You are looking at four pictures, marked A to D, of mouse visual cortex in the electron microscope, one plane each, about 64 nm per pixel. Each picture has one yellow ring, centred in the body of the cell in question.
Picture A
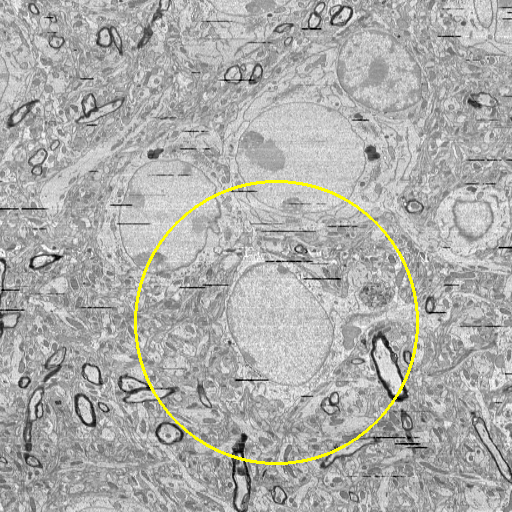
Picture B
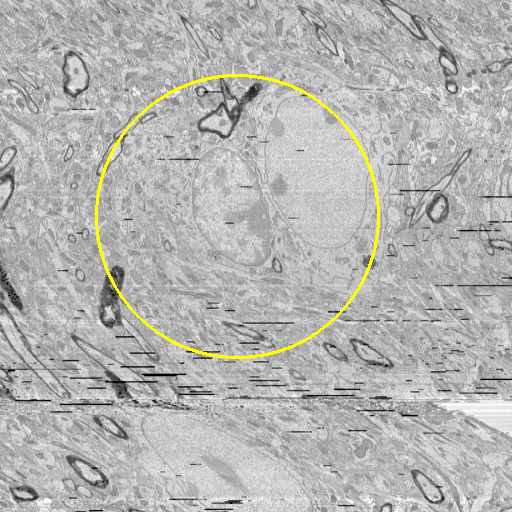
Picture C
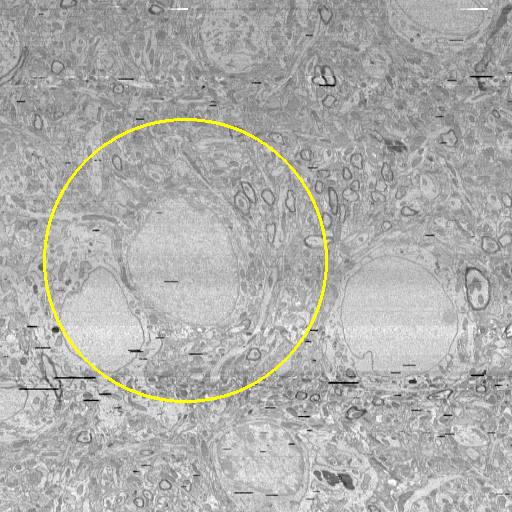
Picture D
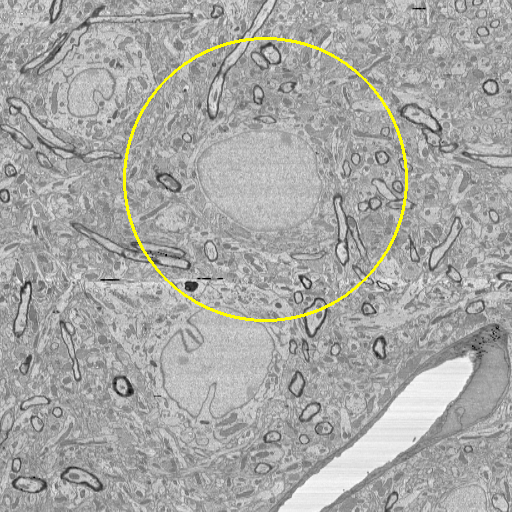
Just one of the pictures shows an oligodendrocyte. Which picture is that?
The cell in picture B is the oligodendrocyte.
